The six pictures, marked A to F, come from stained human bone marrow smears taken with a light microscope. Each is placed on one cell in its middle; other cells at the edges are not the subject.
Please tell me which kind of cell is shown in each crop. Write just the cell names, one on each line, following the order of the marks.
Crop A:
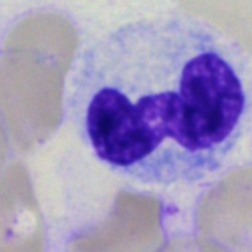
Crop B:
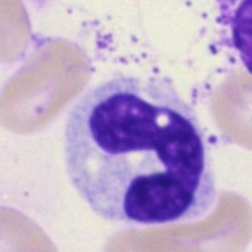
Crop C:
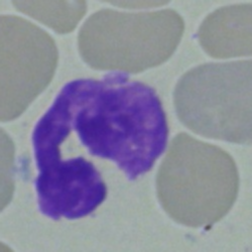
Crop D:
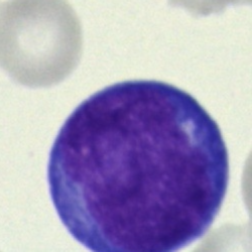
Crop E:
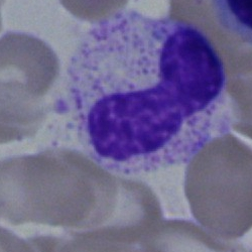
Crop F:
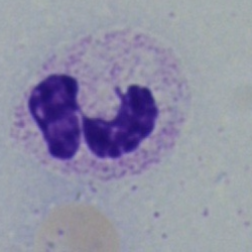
band neutrophil
band neutrophil
segmented neutrophil
proerythroblast
band neutrophil
segmented neutrophil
